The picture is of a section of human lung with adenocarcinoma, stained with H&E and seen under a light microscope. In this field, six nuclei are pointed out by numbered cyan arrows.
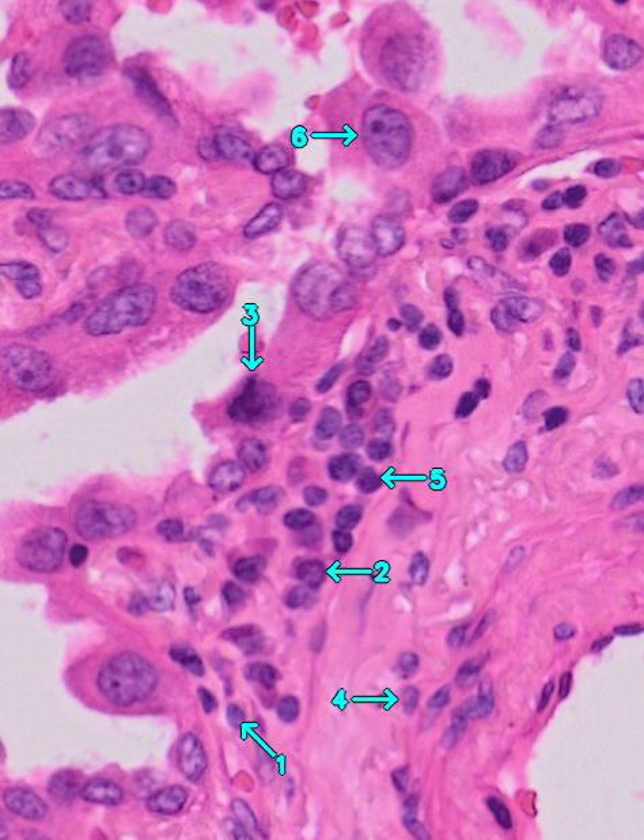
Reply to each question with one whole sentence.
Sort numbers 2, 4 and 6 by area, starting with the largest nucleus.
Largest first, the order by area is 6, 2, 4.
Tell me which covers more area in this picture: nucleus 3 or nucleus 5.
Nucleus 3 is larger, with an area about 4 times that of nucleus 5.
